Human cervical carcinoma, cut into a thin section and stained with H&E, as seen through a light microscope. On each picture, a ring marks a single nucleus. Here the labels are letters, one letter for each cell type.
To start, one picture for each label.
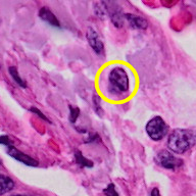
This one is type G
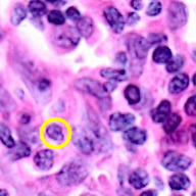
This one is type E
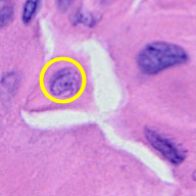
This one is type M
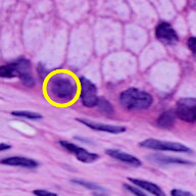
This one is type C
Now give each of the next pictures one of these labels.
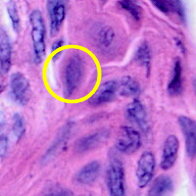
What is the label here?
type M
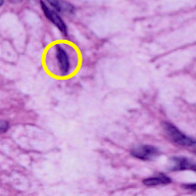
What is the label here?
type C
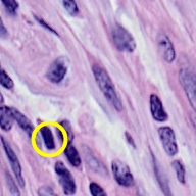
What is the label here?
type E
